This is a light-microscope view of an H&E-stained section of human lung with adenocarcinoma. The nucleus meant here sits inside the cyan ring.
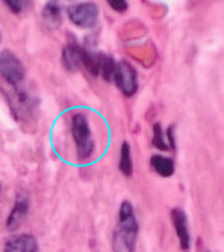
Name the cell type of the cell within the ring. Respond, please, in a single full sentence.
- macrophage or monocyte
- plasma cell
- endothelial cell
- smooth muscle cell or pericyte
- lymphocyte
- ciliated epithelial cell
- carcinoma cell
For the purposes of cell typing, the cell within the ring is categorized as a plasma cell.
